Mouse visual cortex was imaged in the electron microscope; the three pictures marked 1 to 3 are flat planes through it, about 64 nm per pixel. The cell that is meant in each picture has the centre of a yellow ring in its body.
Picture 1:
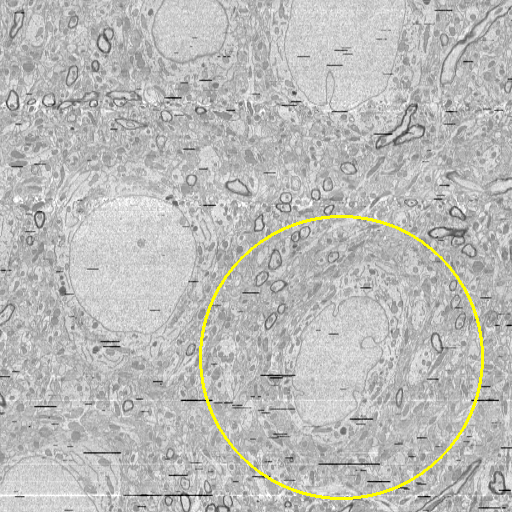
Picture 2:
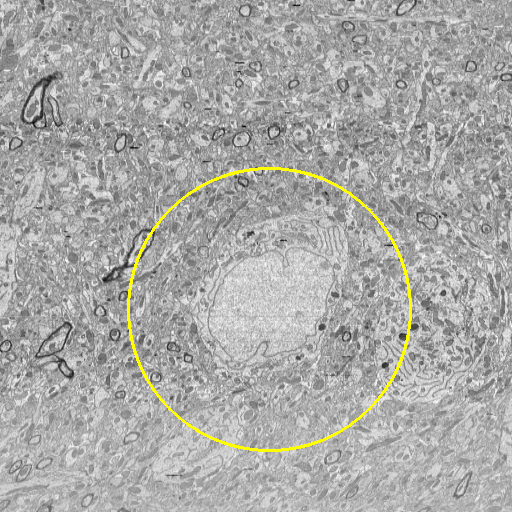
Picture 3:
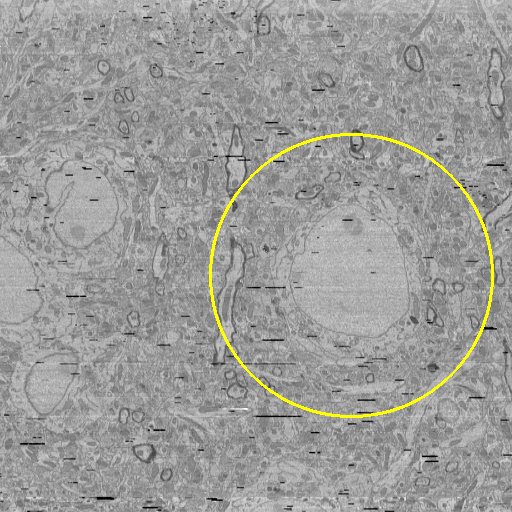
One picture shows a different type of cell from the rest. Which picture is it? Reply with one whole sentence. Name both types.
Unlike the rest, which show inhibitory neurons, picture 3 shows an excitatory neuron.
